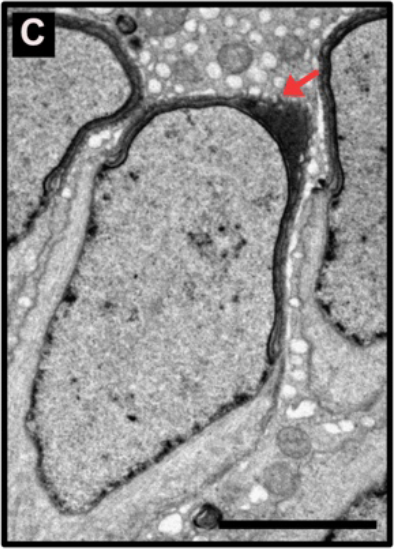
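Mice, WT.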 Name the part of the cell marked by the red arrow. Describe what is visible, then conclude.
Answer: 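A dark flattened layer covers the top of the nucleus. The layer thickens into a dense mass at one corner. The answer: head cap.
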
